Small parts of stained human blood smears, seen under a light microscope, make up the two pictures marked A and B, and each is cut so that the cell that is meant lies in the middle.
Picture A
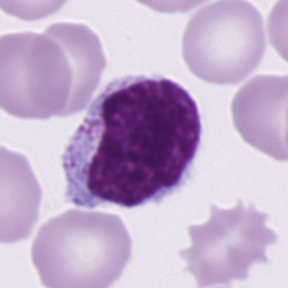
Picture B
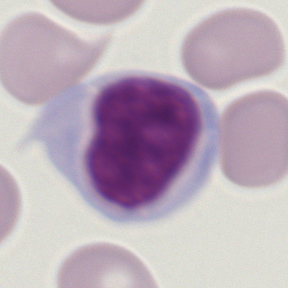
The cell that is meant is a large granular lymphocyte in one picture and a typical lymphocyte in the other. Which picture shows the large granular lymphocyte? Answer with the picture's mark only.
A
